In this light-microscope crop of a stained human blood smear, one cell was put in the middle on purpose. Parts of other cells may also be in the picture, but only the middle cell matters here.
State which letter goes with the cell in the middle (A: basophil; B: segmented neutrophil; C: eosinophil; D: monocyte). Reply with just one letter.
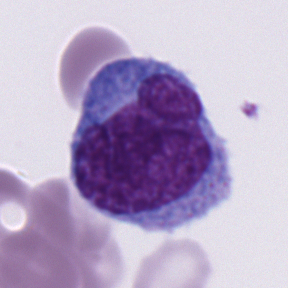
D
